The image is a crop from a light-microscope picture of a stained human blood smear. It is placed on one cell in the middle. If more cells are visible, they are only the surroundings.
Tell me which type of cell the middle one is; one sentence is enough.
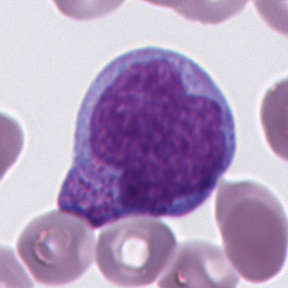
The centrally located cell in the crop is an atypical promyelocyte.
